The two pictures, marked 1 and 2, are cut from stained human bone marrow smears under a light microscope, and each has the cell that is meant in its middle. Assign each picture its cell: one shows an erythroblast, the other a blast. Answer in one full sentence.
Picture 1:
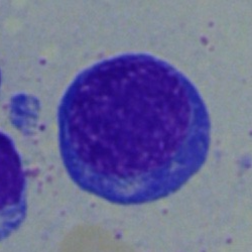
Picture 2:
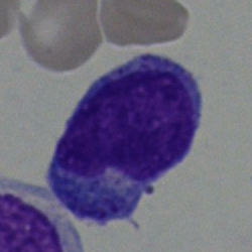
Picture 1 shows an erythroblast and picture 2 shows a blast.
